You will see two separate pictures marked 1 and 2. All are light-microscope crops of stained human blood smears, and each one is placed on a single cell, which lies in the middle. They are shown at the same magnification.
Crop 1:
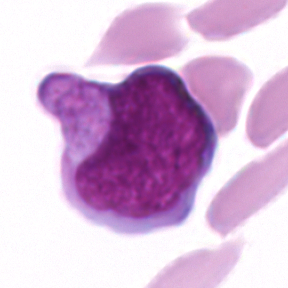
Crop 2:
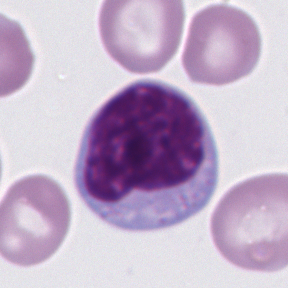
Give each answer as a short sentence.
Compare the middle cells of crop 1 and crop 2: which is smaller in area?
It is the cell in crop 2; the cell in crop 1 has about 1.5 times its area.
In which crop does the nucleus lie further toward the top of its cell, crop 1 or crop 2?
It is the nucleus in crop 2 that lies further toward the top of its cell.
